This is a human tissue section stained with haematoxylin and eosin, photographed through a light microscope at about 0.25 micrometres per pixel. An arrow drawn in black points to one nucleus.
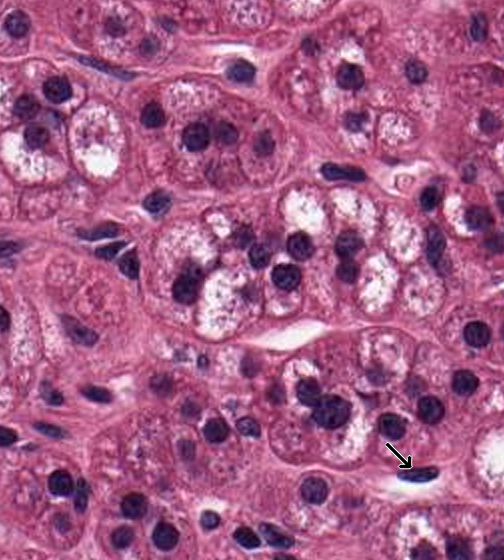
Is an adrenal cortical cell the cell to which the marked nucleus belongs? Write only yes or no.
no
